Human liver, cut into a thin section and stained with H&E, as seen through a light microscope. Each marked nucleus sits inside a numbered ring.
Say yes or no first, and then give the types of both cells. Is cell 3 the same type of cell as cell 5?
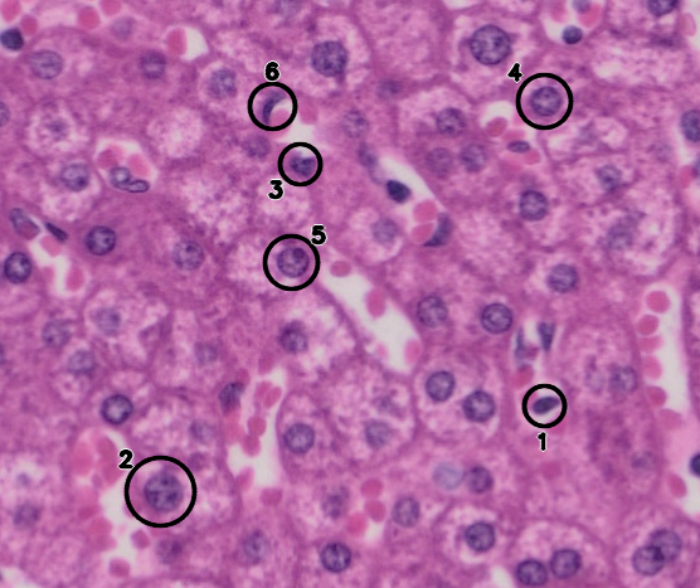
No, cell 3 here is a fibroblast or stellate cell and cell 5 here is a hepatocyte.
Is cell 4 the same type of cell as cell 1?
No, as for cell 4, it is a hepatocyte, and cell 1 is a lymphocyte.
